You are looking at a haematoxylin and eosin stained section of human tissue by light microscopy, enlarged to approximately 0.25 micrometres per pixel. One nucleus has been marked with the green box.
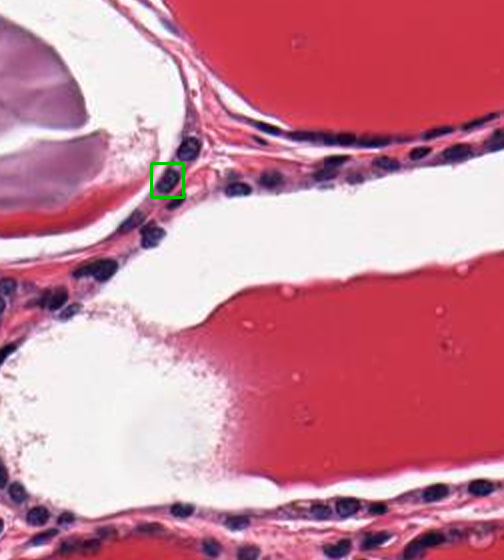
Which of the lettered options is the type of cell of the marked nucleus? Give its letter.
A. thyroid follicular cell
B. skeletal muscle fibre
A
